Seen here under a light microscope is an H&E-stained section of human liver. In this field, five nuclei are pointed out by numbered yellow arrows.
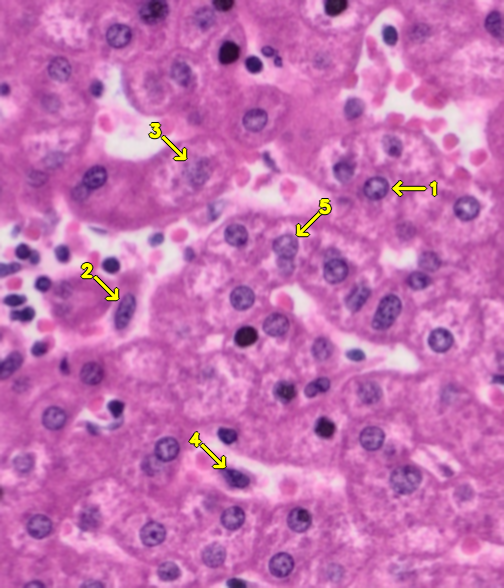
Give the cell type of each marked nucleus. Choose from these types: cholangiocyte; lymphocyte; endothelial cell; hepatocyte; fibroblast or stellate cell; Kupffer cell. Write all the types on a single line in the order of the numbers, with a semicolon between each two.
hepatocyte; Kupffer cell; hepatocyte; Kupffer cell; hepatocyte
